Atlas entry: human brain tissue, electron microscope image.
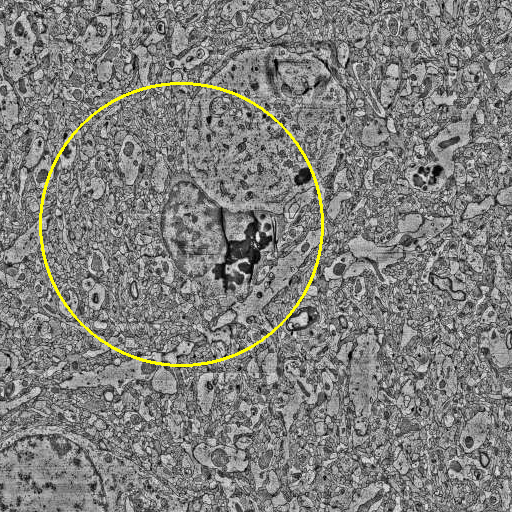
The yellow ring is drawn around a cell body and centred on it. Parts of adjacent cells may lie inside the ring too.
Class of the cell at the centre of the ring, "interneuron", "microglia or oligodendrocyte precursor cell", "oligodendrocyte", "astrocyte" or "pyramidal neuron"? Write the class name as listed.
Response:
oligodendrocyte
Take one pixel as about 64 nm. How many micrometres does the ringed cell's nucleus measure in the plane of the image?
The nucleus is approximately 6 micrometers long by 4 micrometers wide in this plane.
